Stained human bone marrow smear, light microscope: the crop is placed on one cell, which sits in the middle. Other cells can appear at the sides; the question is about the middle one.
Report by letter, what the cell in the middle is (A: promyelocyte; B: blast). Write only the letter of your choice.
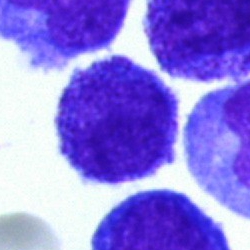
B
